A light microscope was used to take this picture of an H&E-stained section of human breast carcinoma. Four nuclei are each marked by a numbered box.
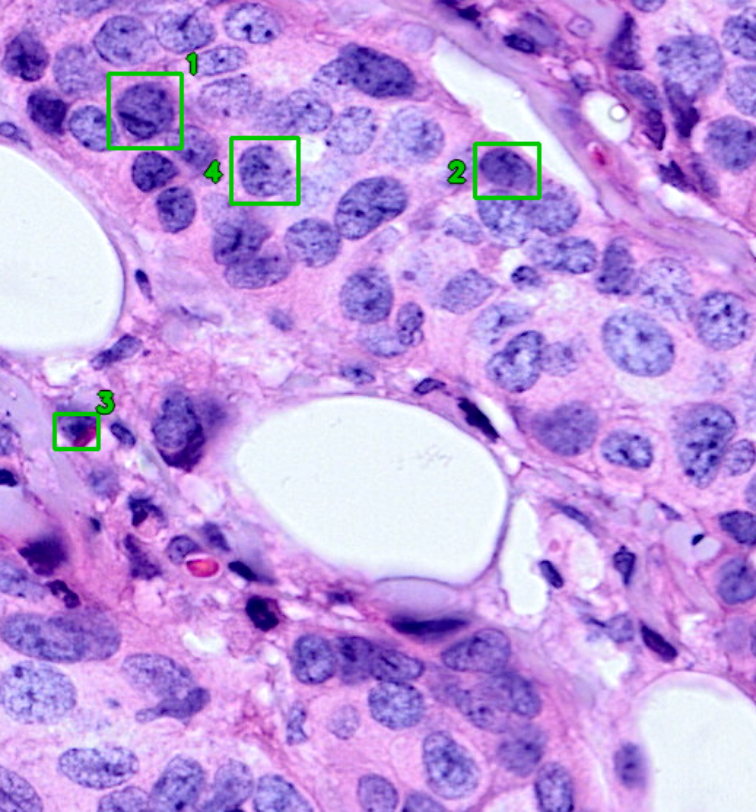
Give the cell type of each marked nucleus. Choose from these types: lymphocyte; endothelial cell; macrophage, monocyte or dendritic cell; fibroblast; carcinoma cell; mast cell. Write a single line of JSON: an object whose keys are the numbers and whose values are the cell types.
{"1": "carcinoma cell", "2": "carcinoma cell", "3": "endothelial cell", "4": "carcinoma cell"}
